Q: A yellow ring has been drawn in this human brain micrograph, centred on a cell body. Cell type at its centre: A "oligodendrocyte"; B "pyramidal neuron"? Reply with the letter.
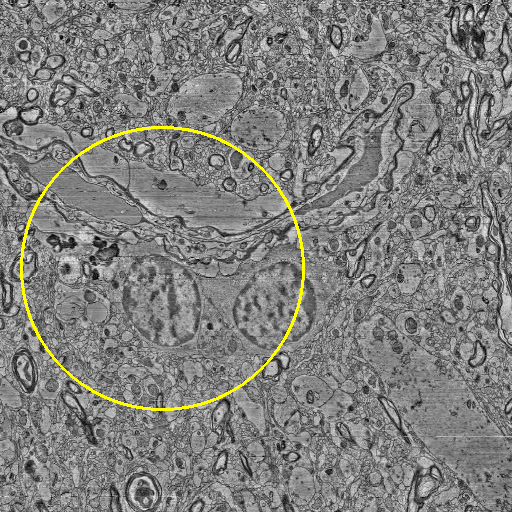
A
